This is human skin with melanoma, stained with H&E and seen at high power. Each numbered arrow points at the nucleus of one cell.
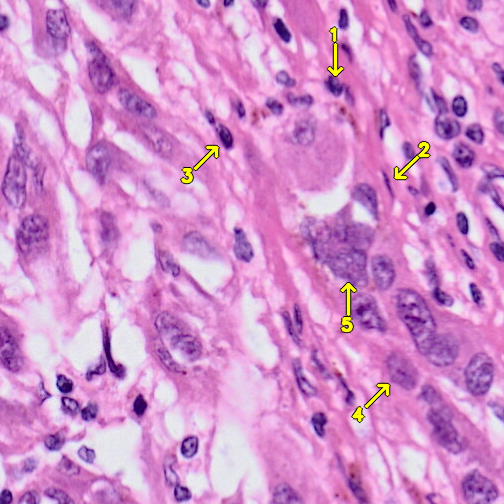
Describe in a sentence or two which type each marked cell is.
Cell 1 is a lymphocyte, cell 2 is a fibroblast or myofibroblast, cell 3 is a lymphocyte, cell 4 is a melanoma cell and cell 5 is a melanoma cell.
